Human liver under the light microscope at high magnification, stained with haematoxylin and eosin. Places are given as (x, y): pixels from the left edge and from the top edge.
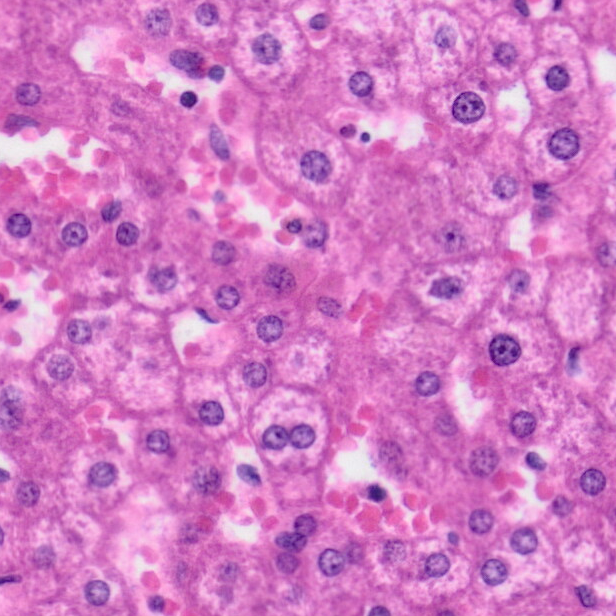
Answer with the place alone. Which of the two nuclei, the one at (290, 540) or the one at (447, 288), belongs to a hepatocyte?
(447, 288)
